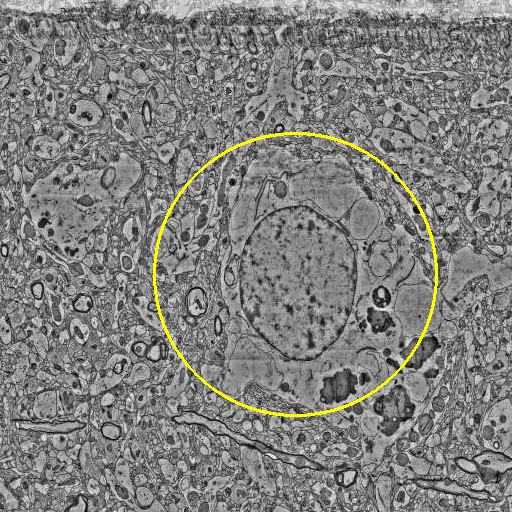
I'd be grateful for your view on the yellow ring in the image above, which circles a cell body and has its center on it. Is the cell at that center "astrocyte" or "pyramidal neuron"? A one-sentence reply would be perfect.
The cell at the center of the yellow ring is an astrocyte.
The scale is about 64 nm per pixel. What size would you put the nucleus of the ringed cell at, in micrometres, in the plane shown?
In this plane, the nucleus of the cell at the centre of the ring measures about 10 by 8 micrometres.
